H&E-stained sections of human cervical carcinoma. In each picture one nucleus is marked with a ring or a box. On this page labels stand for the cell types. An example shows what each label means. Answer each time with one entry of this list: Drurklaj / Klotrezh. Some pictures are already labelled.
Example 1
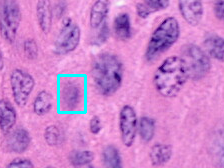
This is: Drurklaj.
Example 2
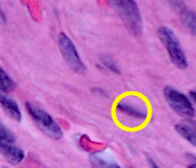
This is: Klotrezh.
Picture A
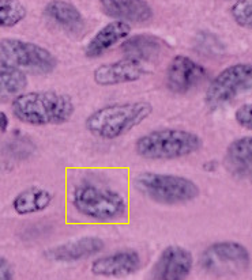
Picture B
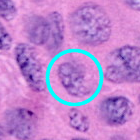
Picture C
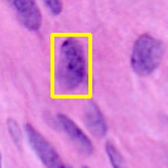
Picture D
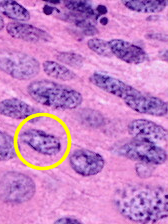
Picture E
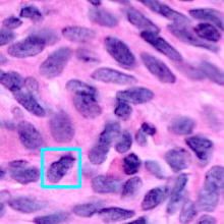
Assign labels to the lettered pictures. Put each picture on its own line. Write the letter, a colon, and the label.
A: Drurklaj.
B: Drurklaj.
C: Klotrezh.
D: Drurklaj.
E: Klotrezh.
